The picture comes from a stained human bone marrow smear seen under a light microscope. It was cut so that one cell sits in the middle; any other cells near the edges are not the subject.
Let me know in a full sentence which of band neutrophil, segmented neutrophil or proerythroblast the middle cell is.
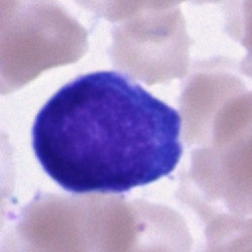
The cell featured at the centre of this crop is a proerythroblast.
